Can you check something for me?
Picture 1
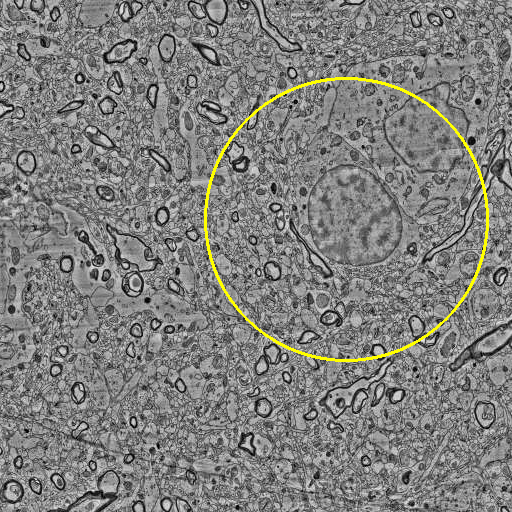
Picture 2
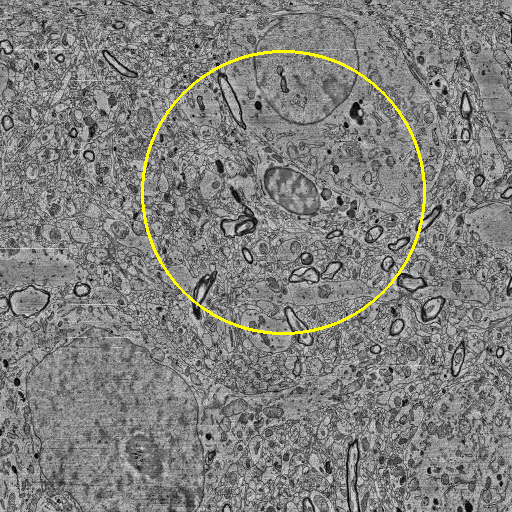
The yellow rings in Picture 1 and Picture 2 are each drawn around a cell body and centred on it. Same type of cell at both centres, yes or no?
no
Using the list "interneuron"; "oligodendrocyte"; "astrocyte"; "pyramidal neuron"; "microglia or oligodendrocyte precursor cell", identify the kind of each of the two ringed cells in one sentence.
The first is an oligodendrocyte and the second is a microglial cell or oligodendrocyte precursor cell.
